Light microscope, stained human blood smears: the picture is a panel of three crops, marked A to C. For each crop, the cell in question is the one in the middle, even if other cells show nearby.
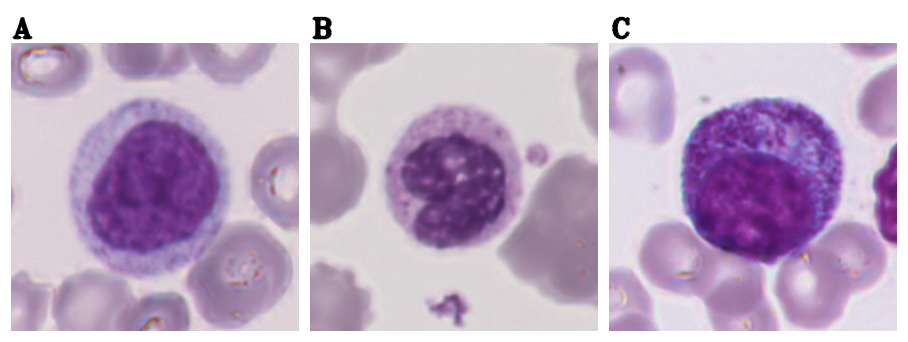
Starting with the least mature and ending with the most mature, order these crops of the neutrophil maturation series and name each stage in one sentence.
In ascending order of maturity, the sequence is crop C (a promyelocyte), crop A (a myelocyte) and crop B (a band neutrophil).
